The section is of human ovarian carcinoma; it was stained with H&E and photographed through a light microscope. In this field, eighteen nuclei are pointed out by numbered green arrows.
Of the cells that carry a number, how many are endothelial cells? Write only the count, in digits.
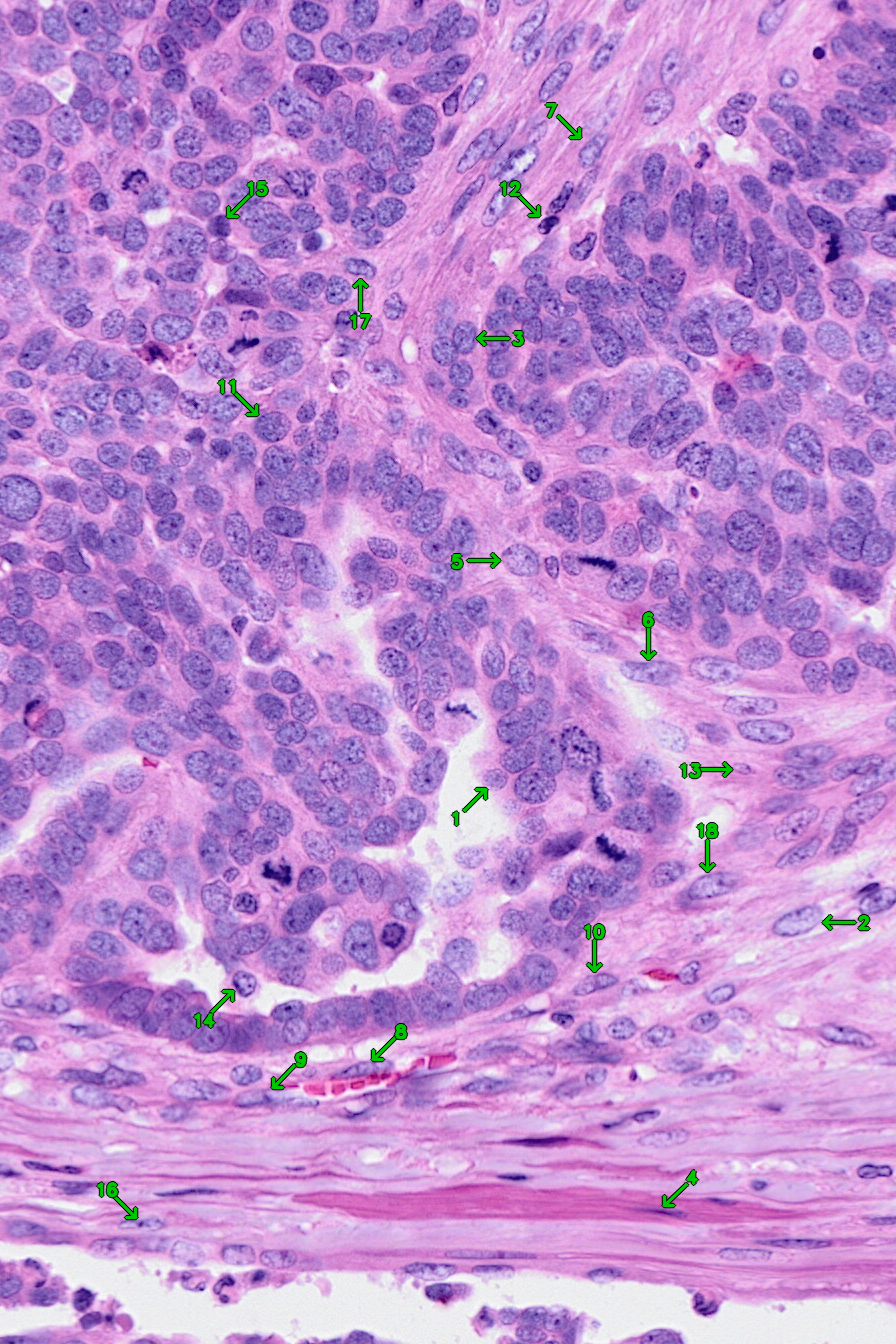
2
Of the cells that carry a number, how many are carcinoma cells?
4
